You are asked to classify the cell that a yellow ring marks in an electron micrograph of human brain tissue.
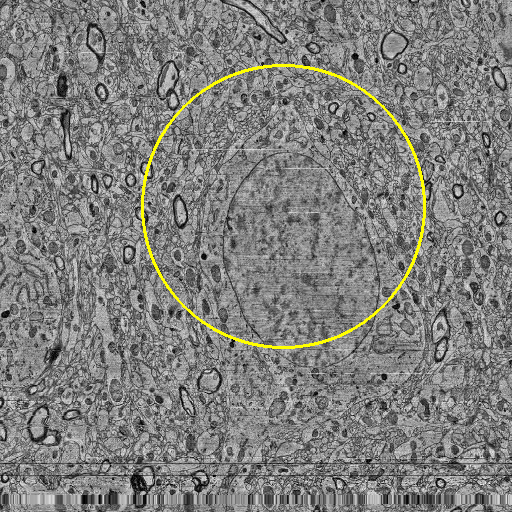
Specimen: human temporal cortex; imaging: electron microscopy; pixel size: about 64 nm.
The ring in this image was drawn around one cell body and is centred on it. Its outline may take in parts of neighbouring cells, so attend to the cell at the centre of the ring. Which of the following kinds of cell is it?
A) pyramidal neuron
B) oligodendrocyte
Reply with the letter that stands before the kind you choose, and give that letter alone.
A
